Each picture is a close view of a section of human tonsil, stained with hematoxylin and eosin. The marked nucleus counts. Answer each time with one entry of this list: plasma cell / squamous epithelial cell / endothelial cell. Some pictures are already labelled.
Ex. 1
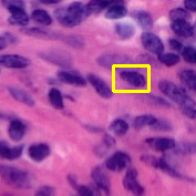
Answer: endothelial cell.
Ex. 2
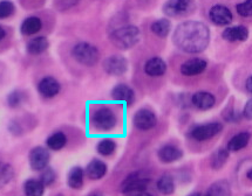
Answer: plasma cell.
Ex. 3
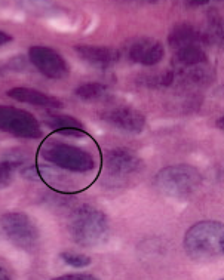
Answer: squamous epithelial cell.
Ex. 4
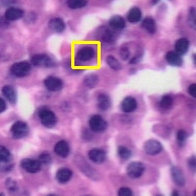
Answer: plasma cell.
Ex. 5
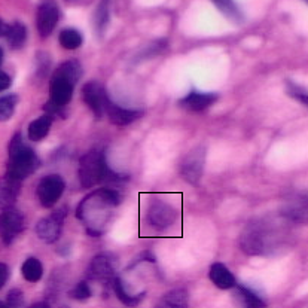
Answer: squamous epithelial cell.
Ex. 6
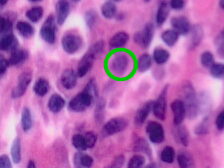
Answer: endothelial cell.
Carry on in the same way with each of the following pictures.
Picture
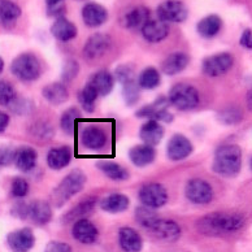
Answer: plasma cell.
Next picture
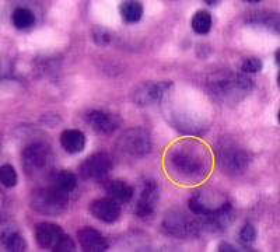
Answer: squamous epithelial cell.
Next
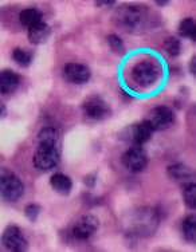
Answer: plasma cell.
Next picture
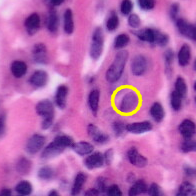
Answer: endothelial cell.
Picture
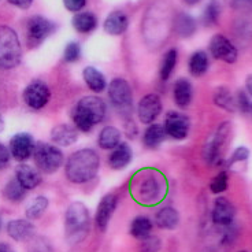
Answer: endothelial cell.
